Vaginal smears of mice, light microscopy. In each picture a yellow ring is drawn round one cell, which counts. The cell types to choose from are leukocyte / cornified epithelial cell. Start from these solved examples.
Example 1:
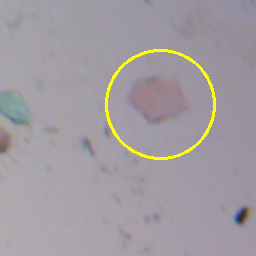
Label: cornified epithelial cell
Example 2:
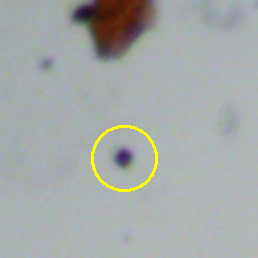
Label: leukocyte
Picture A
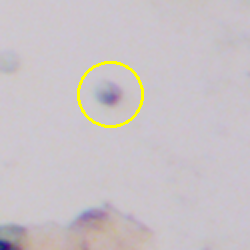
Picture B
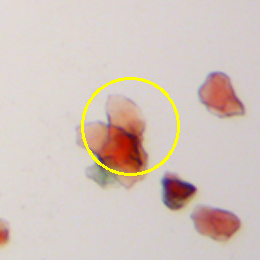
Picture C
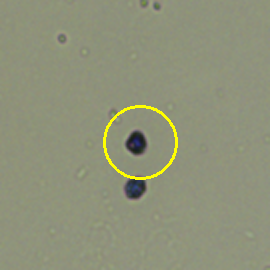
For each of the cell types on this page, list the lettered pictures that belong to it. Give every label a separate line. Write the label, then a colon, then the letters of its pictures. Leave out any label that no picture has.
leukocyte: A, C
cornified epithelial cell: B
